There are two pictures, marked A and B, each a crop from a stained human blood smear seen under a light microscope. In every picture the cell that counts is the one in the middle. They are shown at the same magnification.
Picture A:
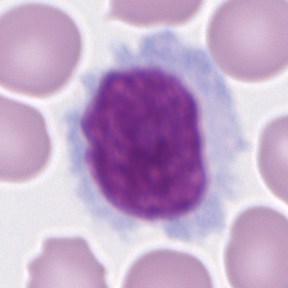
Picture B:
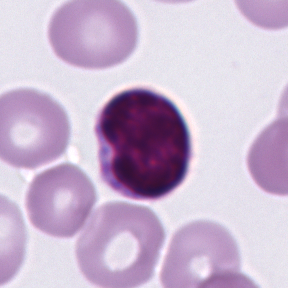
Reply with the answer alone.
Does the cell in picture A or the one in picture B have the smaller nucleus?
B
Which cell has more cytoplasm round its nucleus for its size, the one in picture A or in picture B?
A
